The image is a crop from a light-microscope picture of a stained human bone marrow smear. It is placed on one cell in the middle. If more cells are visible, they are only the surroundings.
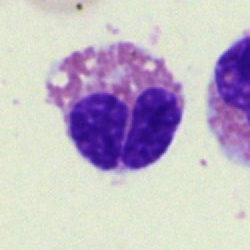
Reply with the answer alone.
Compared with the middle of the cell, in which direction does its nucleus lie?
bottom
